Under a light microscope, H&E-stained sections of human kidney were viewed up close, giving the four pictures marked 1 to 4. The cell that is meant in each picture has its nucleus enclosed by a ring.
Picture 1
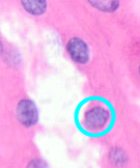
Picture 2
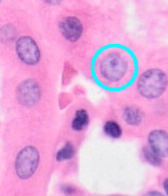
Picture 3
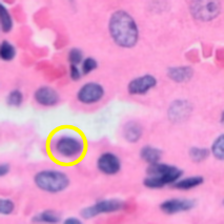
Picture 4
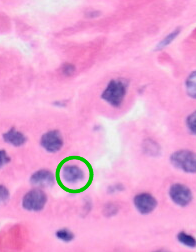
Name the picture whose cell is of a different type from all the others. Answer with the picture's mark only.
2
